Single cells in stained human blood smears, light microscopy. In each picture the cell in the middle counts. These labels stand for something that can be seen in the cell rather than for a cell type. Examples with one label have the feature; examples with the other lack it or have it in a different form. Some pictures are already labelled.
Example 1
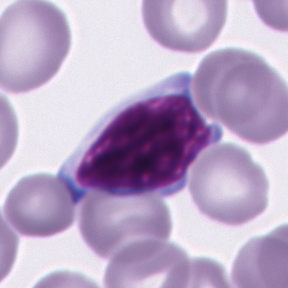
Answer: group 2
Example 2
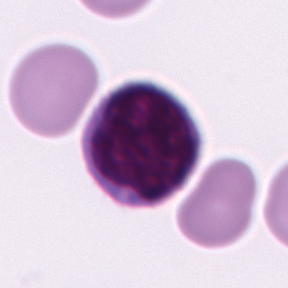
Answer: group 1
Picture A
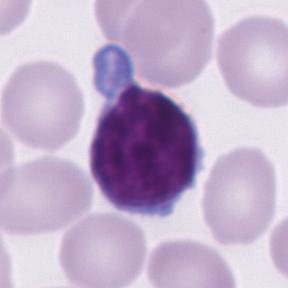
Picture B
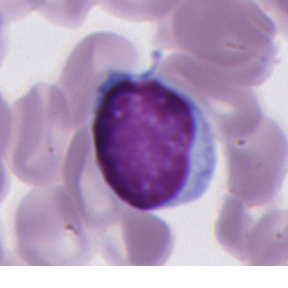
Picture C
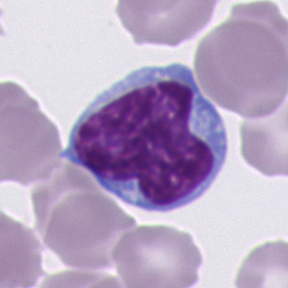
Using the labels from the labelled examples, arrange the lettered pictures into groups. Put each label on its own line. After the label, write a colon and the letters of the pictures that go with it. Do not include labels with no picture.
group 2: A, B, C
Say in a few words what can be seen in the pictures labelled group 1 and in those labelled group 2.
In group 1: smooth outline. In group 2: ragged outline or projections.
